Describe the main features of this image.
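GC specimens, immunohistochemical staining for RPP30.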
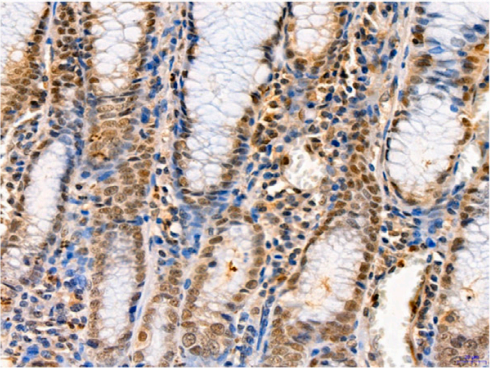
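This is glandular epithelium in a section of stomach. Long glands cut lengthwise run side by side. Each is lined by a single row of tall columnar cells whose upper cytoplasm is pale and empty-looking, filled with mucus. Their oval to elongated nuclei sit in a row toward the base and are stained brown, with some brown tint in the cytoplasm around them. Between the glands lies a thin stroma of connective tissue holding small cells whose round or spindle nuclei are blue and unstained.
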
